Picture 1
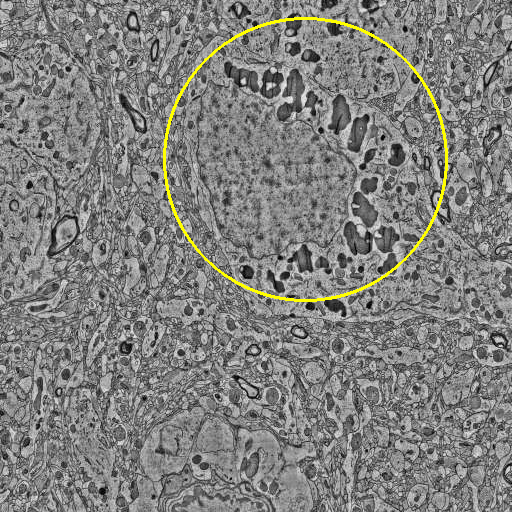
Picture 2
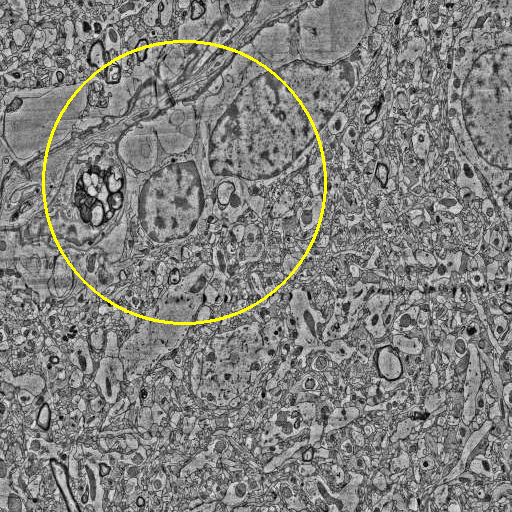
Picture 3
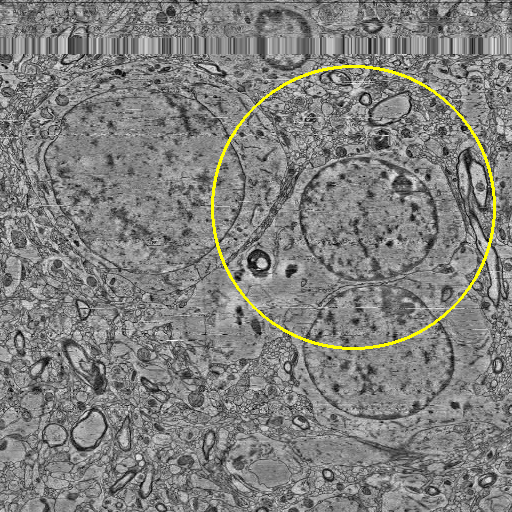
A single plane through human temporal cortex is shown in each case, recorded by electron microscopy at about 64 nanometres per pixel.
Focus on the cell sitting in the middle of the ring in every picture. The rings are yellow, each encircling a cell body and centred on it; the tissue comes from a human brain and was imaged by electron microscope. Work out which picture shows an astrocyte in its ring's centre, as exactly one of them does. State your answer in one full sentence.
In picture 3, the ring is centred on the cell in question.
